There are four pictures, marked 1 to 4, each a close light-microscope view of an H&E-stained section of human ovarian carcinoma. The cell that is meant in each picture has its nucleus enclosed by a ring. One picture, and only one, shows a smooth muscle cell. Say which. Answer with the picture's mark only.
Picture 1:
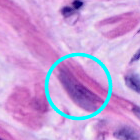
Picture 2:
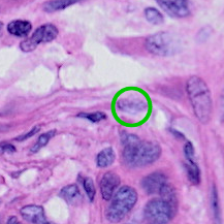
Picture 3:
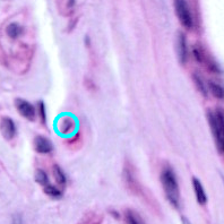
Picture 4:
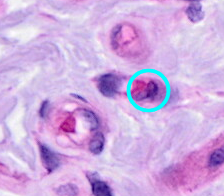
1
